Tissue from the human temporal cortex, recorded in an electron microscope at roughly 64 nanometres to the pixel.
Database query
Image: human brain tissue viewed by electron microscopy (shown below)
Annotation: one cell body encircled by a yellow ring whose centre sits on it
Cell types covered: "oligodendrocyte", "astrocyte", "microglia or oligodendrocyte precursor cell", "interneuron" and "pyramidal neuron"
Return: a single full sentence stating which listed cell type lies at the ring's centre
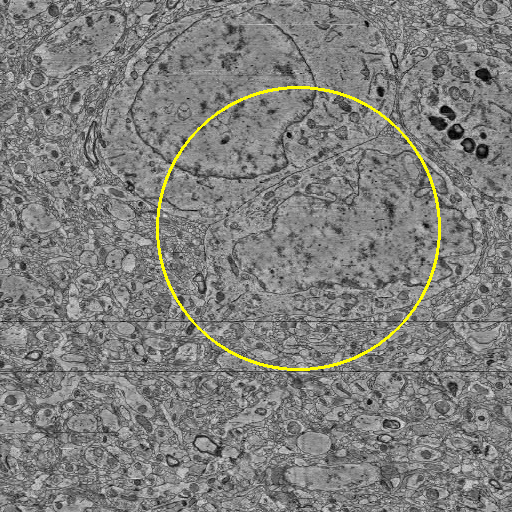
In the image, the cell lying at the ring's centre is an interneuron.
